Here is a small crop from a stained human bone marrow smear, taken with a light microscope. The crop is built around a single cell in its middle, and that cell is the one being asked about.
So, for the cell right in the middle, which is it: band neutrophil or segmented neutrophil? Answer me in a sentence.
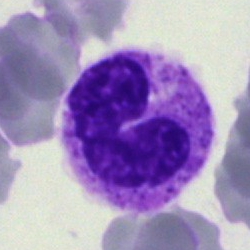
In short, the cell at the center is a band neutrophil.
